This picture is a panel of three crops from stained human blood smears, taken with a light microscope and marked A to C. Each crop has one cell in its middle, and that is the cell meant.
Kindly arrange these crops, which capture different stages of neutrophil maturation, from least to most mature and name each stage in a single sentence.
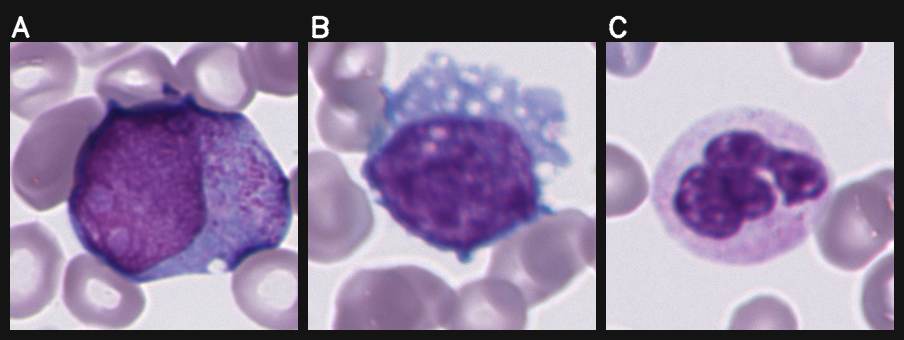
In terms of maturity, from least to most, the order is crop B (a blast), crop A (a promyelocyte) and crop C (a neutrophil).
